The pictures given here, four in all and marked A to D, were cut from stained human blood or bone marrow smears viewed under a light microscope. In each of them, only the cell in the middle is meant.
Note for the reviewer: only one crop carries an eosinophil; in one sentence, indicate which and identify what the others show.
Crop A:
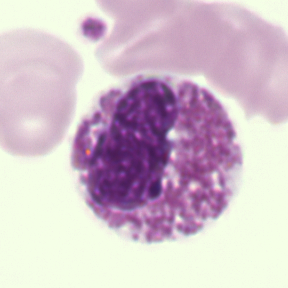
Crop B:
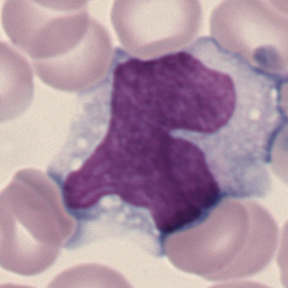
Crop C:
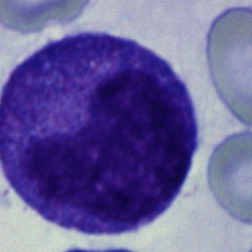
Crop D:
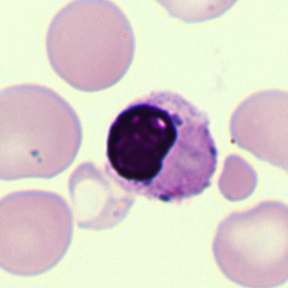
Crop A is where an eosinophil is shown, whereas crop B is a monocyte, crop C is a promyelocyte and crop D is a normoblast.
